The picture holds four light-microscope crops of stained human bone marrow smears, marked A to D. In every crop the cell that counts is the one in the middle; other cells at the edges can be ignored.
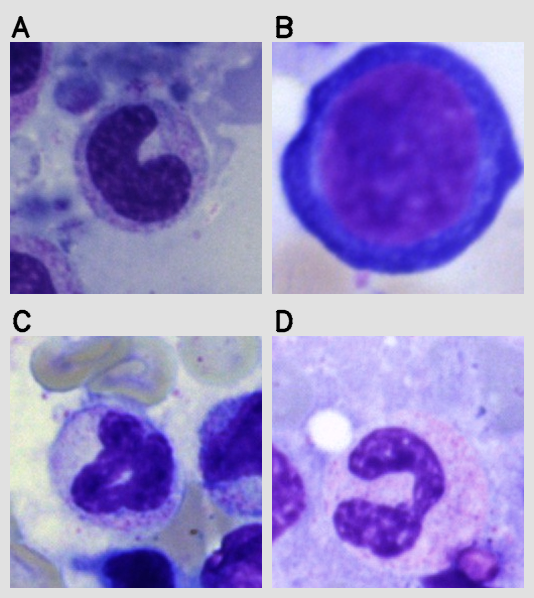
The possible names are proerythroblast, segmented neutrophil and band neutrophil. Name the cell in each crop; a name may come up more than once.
A: band neutrophil
B: proerythroblast
C: band neutrophil
D: segmented neutrophil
